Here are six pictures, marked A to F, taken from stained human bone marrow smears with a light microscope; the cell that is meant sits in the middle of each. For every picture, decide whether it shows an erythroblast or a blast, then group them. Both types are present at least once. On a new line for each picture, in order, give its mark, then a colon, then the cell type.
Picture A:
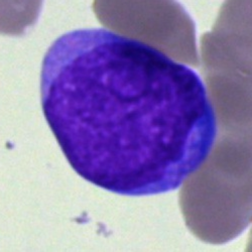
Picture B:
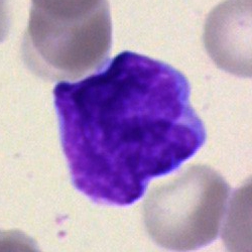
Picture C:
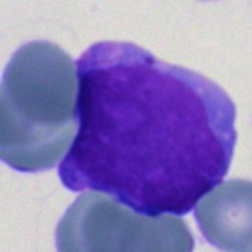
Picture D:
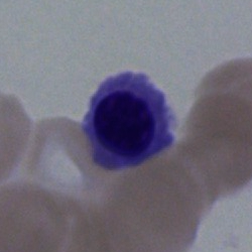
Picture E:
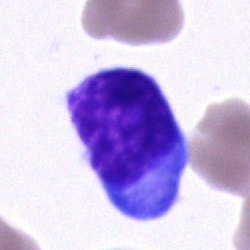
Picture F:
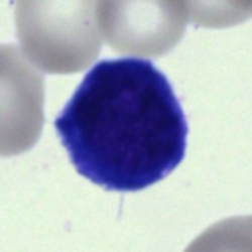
A: blast
B: blast
C: blast
D: erythroblast
E: blast
F: erythroblast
